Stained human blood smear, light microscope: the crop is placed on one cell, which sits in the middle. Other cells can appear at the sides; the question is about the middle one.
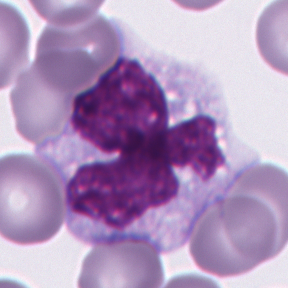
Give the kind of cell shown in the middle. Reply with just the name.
monocyte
